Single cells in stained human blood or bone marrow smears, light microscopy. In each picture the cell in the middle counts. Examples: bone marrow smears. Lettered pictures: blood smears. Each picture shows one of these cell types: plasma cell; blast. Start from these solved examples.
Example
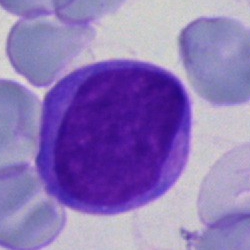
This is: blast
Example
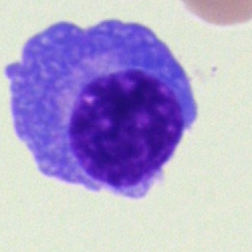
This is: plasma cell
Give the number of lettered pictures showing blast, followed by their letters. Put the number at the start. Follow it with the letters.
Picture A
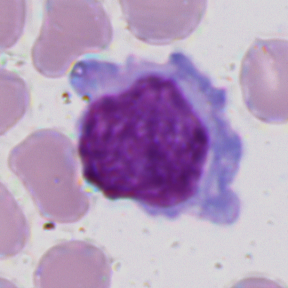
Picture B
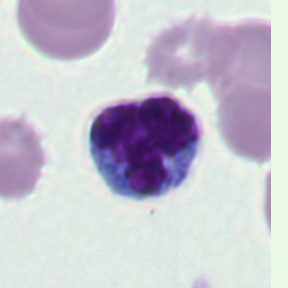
0, none of them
